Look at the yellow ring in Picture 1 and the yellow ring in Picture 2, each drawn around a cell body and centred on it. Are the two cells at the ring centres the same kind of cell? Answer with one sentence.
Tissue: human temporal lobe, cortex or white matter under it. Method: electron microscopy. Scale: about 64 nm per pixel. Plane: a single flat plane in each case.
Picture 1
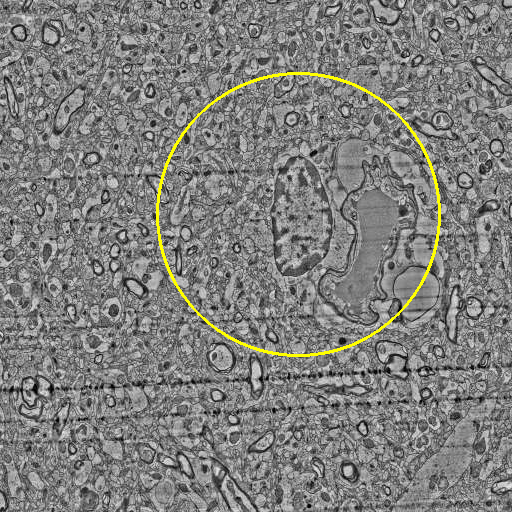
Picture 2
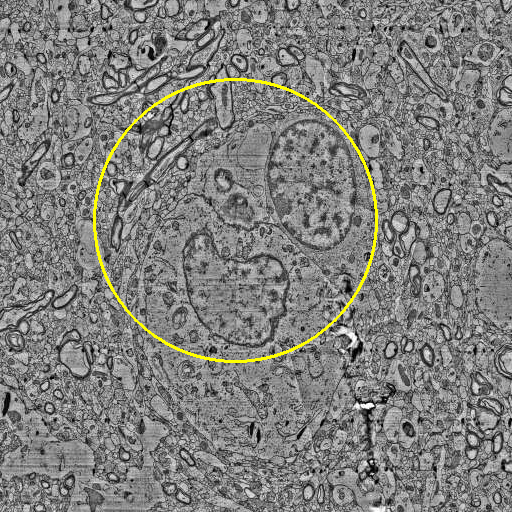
Yes, both are the same kind of cell.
